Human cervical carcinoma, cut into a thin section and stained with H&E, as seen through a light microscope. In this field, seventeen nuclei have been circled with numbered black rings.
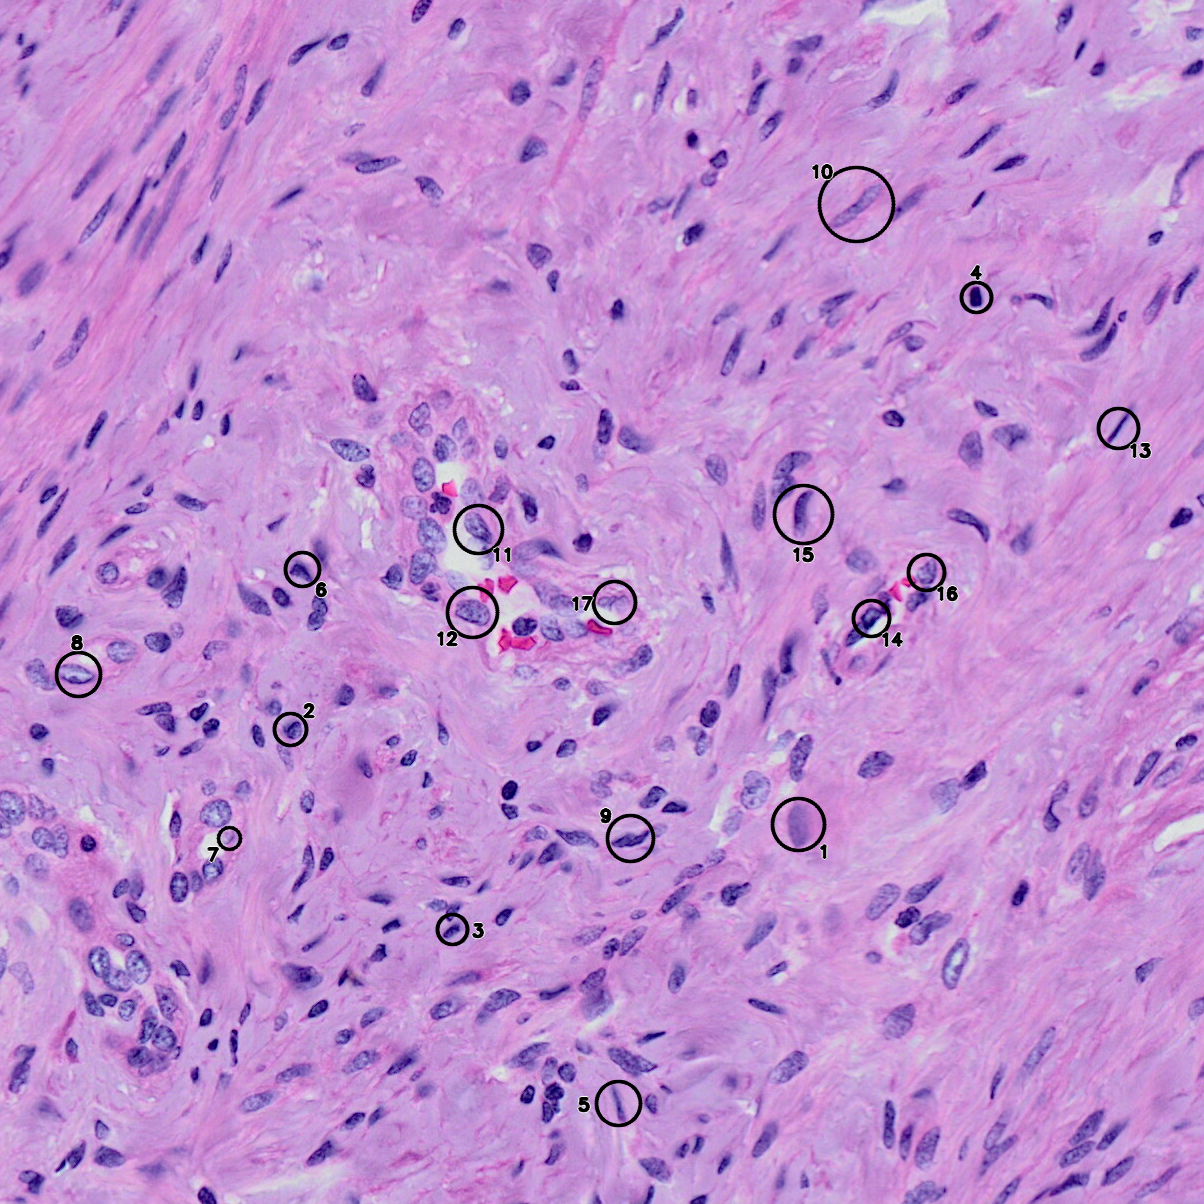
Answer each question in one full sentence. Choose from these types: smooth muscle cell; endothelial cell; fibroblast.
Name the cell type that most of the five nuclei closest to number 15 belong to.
Of the five nuclei nearest to number 15, most belong to fibroblasts.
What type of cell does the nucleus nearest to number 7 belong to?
The cell nearest to number 7 is an endothelial cell.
